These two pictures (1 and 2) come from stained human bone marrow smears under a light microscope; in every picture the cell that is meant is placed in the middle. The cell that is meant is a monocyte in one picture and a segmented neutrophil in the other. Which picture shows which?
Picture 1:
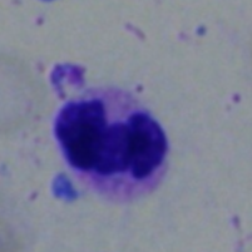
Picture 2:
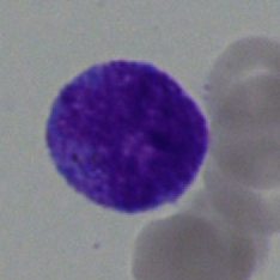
1: segmented neutrophil
2: monocyte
